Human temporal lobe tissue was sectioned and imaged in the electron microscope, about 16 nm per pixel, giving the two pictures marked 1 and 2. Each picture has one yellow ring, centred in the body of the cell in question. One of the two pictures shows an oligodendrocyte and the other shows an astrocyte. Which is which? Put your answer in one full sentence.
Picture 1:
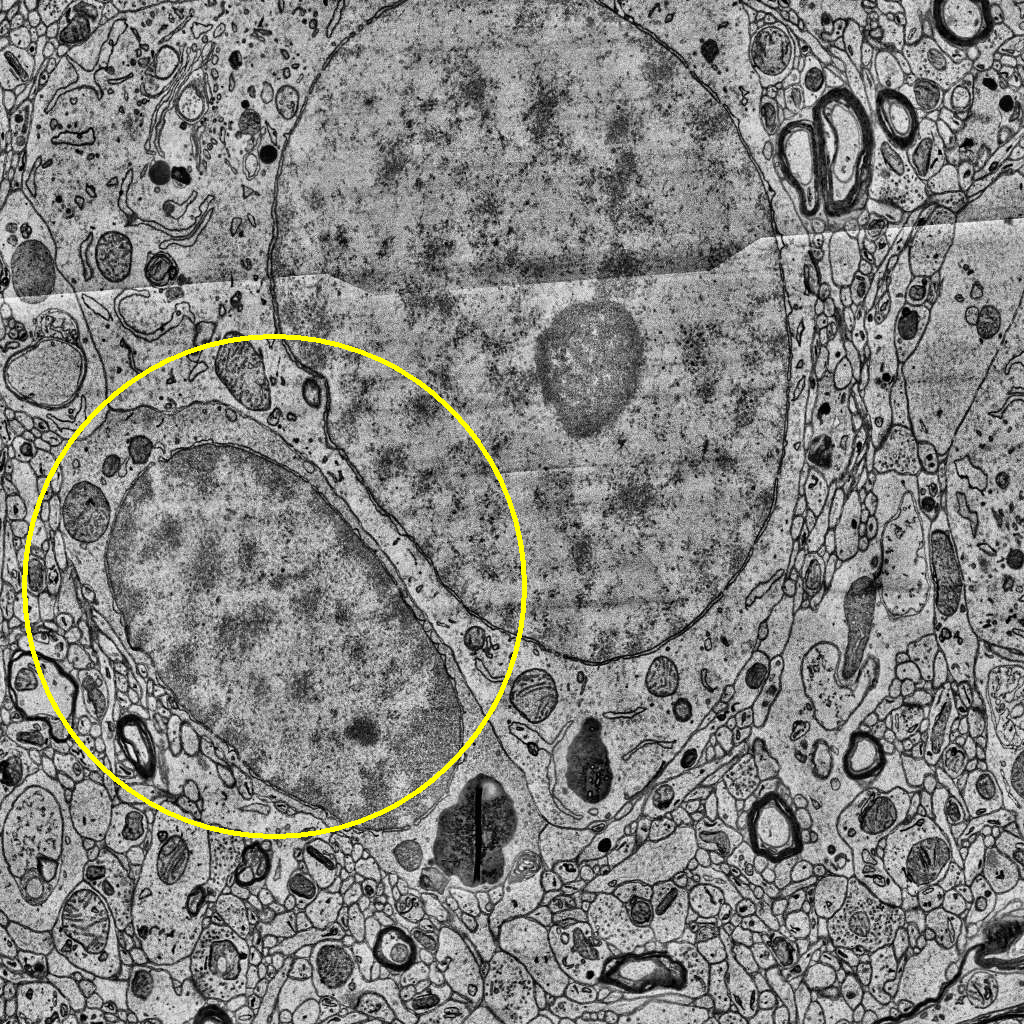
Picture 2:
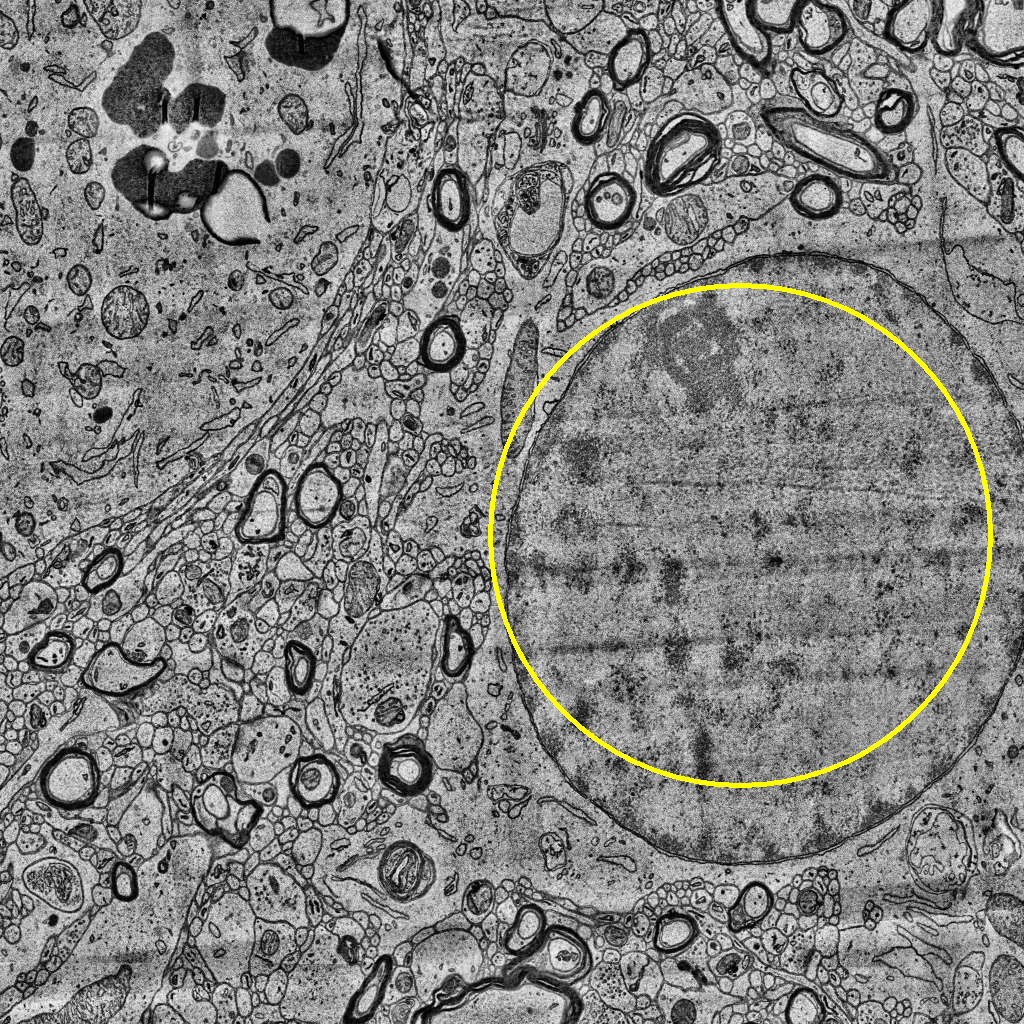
The cell in picture 1 is an oligodendrocyte, and the one in picture 2 is an astrocyte.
